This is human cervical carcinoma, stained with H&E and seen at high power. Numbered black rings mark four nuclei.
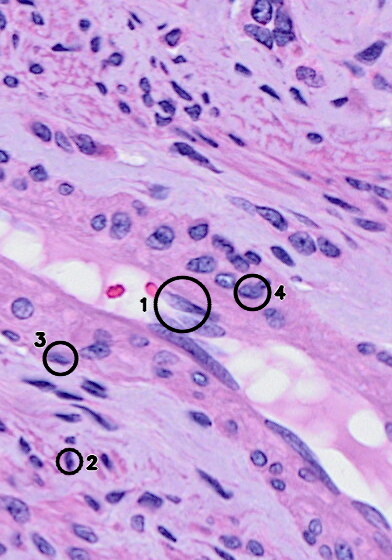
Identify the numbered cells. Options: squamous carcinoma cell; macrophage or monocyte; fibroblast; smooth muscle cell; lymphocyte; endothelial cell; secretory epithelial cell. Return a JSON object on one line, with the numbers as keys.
{"1": "endothelial cell", "2": "smooth muscle cell", "3": "smooth muscle cell", "4": "smooth muscle cell"}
